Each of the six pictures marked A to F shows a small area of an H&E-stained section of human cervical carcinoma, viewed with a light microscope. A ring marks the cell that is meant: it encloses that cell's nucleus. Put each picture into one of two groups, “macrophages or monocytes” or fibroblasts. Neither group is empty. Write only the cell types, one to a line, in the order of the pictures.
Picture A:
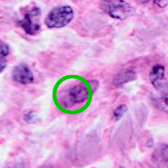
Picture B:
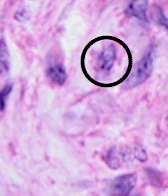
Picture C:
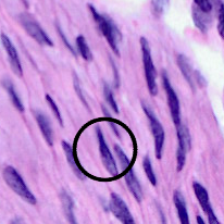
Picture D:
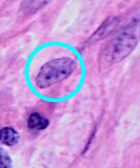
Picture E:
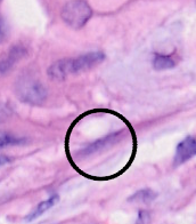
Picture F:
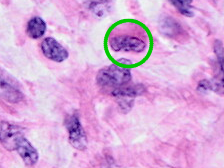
macrophage or monocyte
macrophage or monocyte
fibroblast
macrophage or monocyte
fibroblast
macrophage or monocyte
